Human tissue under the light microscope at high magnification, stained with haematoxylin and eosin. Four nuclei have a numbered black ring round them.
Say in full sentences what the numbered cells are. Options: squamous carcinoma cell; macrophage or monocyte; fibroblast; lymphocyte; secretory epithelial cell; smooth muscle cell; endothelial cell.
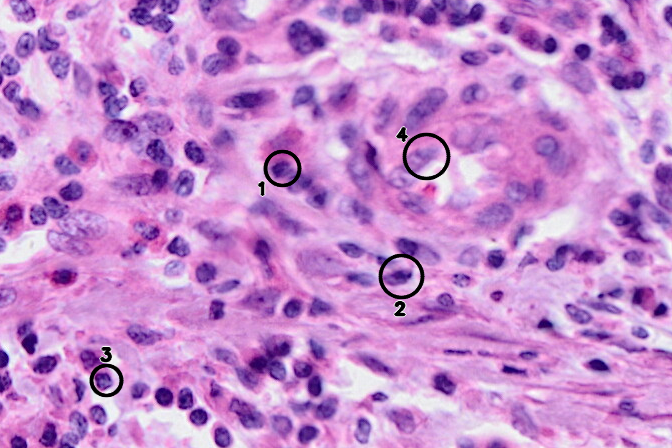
Cells 1, 2 and 3 are lymphocytes. Cell 4 is an endothelial cell.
